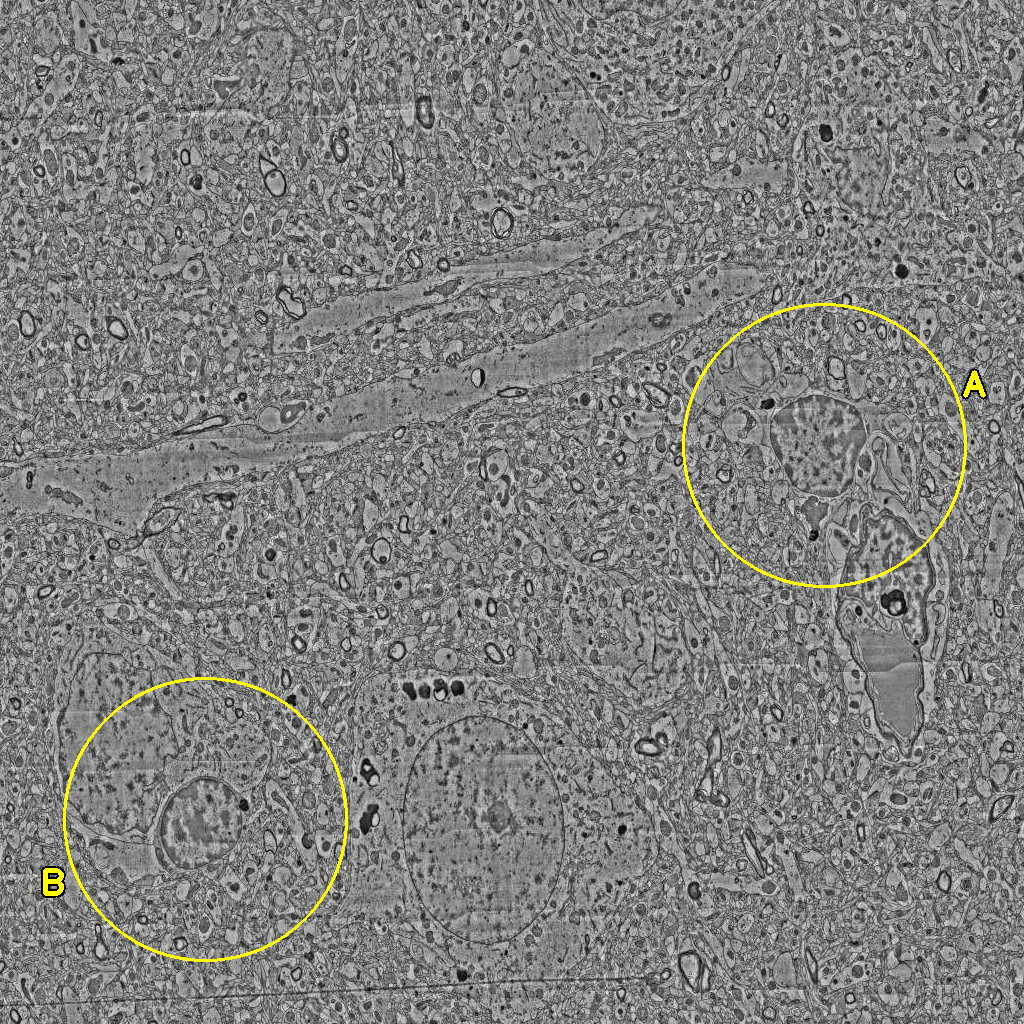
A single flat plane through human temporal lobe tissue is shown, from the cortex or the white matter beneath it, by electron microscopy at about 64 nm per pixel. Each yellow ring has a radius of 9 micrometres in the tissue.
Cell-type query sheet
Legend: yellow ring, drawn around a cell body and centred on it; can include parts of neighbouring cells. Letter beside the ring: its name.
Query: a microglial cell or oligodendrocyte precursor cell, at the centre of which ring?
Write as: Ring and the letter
Ring A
